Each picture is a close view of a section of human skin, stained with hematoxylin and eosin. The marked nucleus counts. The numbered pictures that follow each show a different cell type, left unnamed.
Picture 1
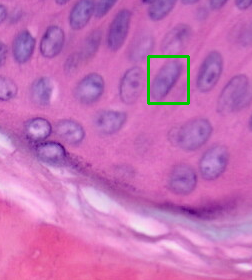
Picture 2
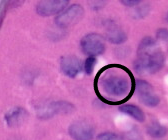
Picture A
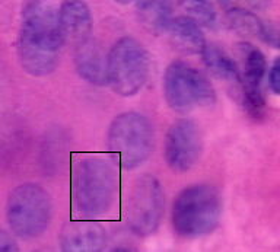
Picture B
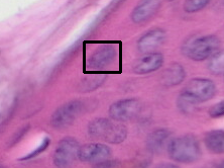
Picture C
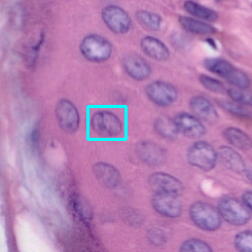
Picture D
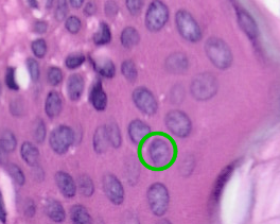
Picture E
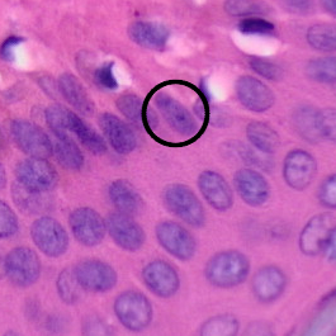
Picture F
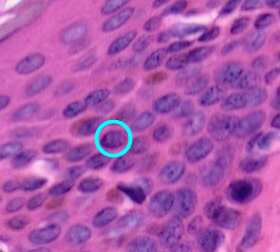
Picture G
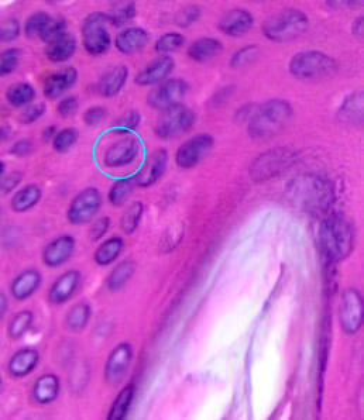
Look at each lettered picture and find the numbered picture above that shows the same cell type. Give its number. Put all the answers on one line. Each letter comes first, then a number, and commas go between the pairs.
A 1, B 1, C 1, D 1, E 2, F 2, G 1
